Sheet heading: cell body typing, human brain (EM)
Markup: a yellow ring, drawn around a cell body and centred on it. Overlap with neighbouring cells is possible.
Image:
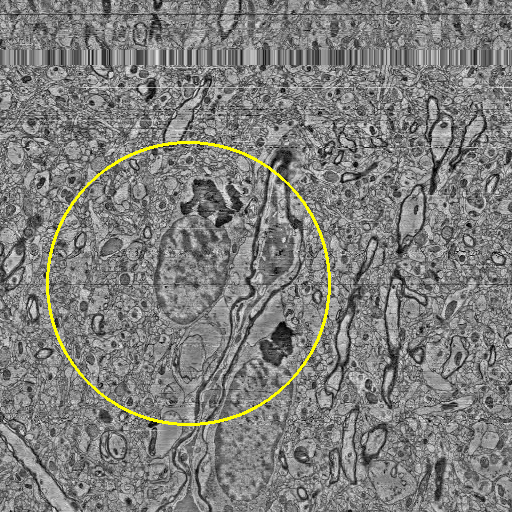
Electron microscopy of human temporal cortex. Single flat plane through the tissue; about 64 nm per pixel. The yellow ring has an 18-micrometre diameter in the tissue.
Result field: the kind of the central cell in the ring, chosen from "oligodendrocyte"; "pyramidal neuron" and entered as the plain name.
oligodendrocyte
